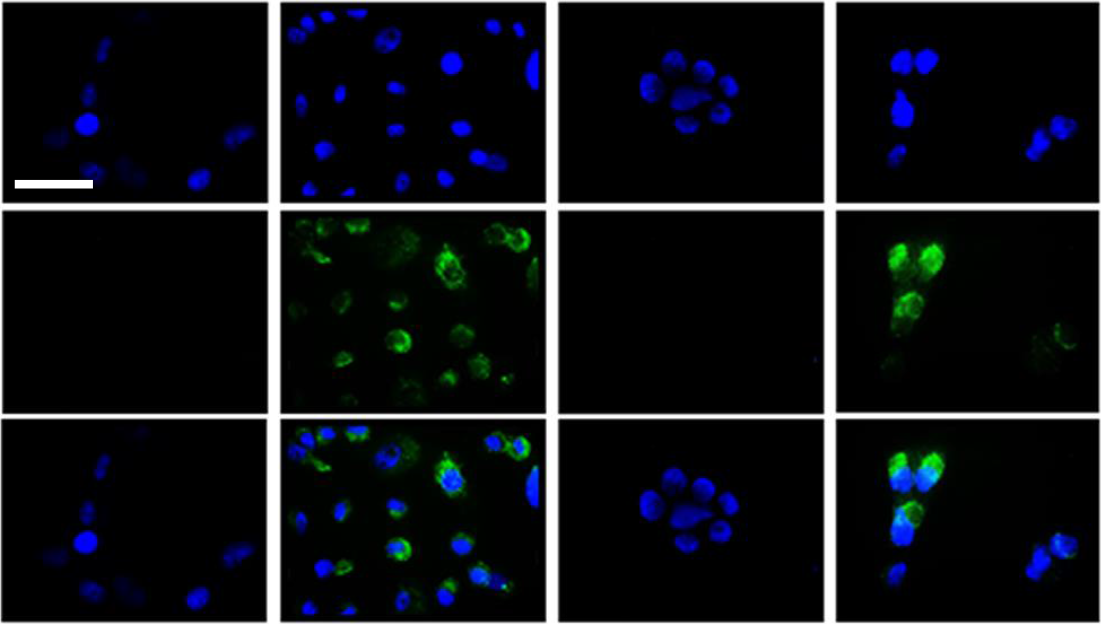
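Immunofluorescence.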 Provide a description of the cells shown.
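In two of the columns, green granular signal sits in the cytoplasm around the nuclei, often as rings or crescents hugging one side of the nucleus. In the other two columns, only blue nuclei are seen and there is no green.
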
